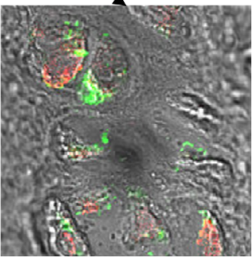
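Bright green dots and clumps are scattered in the cells, mostly toward their edges. A diffuse red colour fills parts of several of the same cells, so green dots and red areas sit side by side within individual cells.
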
